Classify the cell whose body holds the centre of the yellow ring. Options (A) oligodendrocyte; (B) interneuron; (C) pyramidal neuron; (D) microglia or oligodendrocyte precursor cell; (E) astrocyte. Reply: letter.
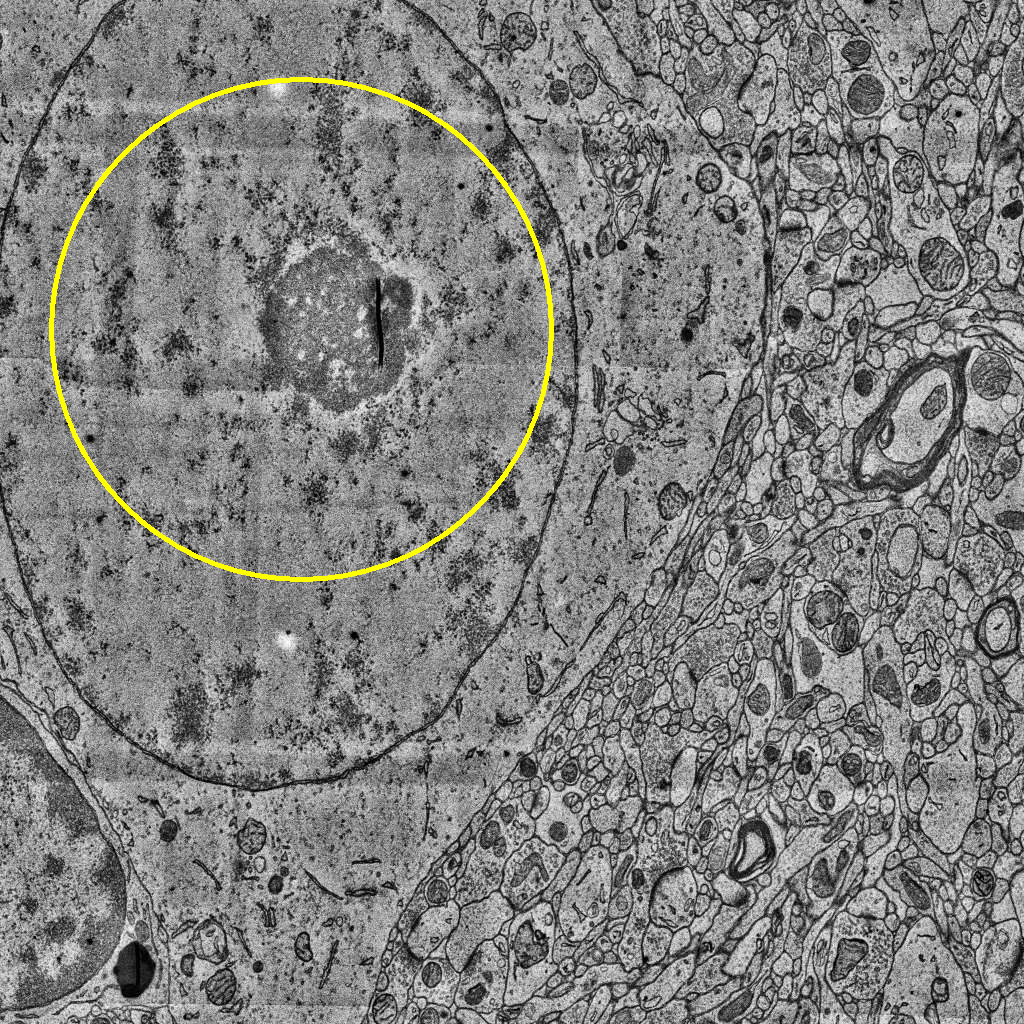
C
